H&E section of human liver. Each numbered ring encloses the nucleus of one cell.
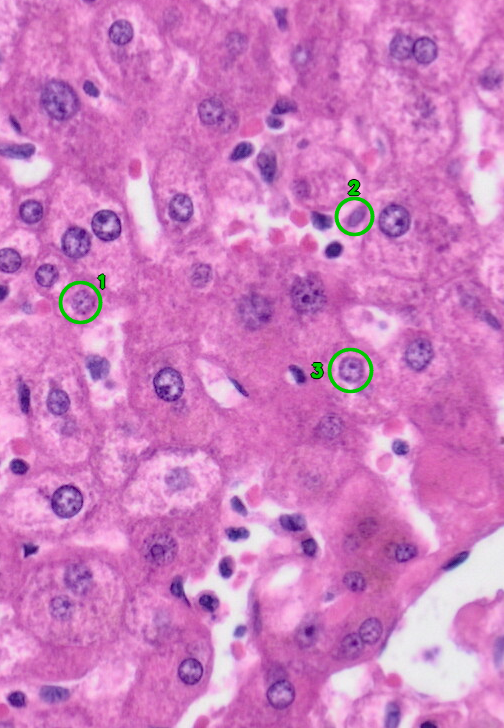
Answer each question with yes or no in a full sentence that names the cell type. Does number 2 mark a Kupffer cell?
Yes, the cell given number 2 is a Kupffer cell.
